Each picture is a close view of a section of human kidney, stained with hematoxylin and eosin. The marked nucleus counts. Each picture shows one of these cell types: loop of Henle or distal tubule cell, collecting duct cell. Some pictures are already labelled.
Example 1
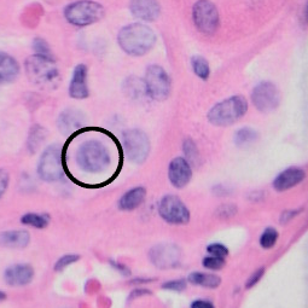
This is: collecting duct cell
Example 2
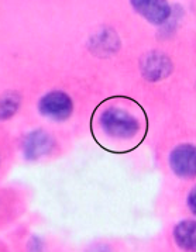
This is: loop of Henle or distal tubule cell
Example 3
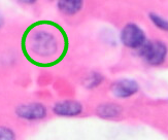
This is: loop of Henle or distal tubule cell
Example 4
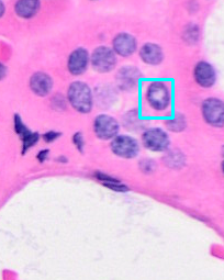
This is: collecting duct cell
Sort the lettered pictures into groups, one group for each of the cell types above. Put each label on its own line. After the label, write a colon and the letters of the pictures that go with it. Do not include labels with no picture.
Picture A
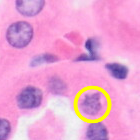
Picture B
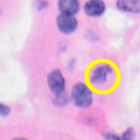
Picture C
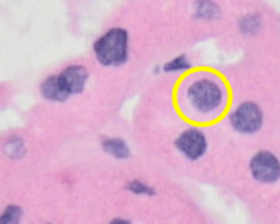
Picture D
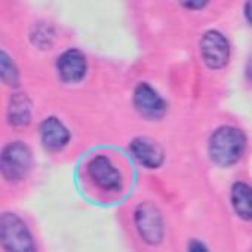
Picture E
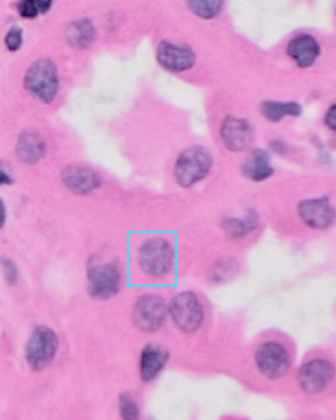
loop of Henle or distal tubule cell: A, C, D, E
collecting duct cell: B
